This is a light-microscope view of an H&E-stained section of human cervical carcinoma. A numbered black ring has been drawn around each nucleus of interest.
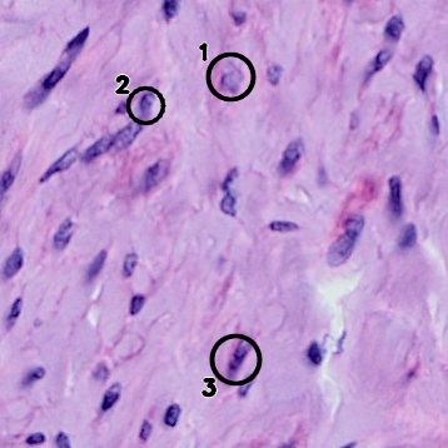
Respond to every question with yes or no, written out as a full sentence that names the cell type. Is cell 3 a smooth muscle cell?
Yes, the cell tagged with the number 3 is a smooth muscle cell.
